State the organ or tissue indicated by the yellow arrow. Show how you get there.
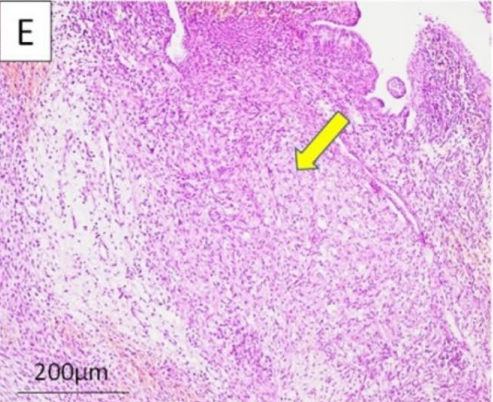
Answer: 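Pale, loose, sparsely cellular areas. Paler zones alternate with more cellular purple zones.
Myxoid stroma.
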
